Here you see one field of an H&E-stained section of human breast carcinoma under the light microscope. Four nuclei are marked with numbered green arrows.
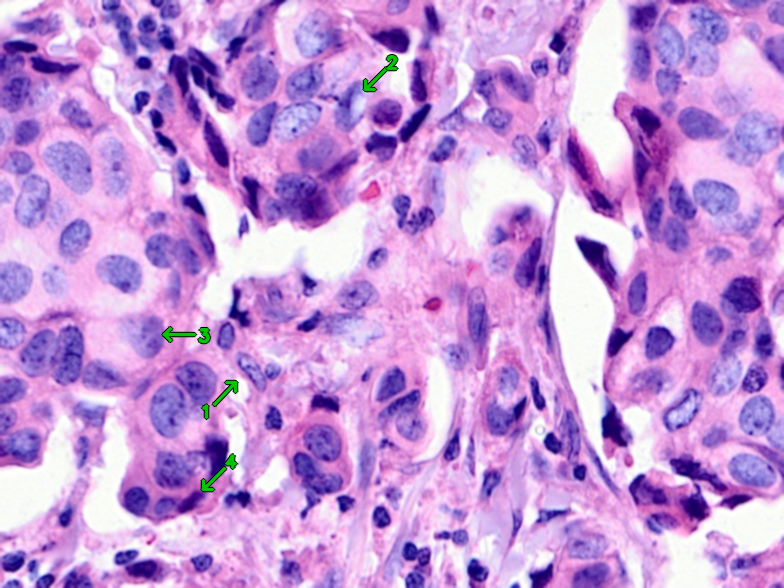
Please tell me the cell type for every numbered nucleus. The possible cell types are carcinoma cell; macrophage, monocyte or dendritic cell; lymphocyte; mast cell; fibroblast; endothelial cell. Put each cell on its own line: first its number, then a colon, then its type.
1: endothelial cell
2: carcinoma cell
3: carcinoma cell
4: carcinoma cell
